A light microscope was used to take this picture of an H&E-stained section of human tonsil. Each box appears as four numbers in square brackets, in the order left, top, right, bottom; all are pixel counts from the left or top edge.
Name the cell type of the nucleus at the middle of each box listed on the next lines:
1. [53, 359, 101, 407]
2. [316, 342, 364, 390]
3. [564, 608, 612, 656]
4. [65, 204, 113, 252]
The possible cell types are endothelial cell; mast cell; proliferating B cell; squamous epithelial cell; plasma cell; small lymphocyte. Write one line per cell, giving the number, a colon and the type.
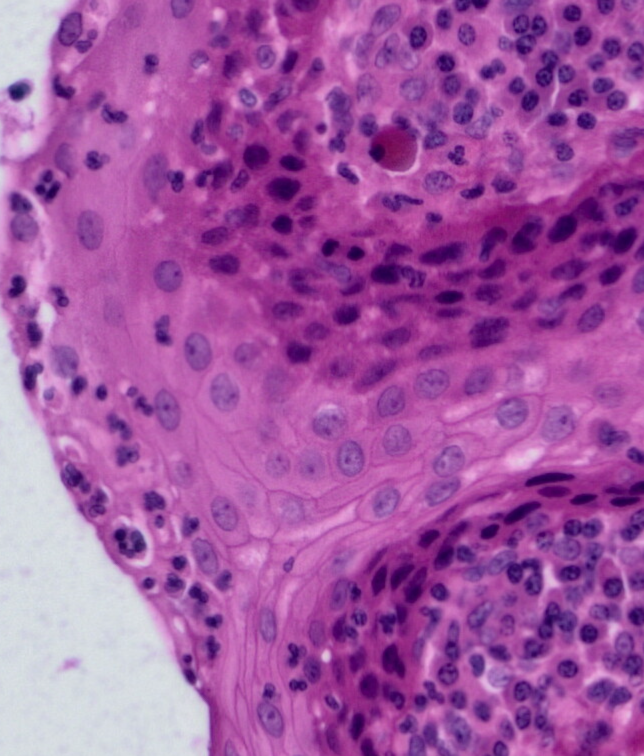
1: squamous epithelial cell
2: squamous epithelial cell
3: plasma cell
4: squamous epithelial cell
